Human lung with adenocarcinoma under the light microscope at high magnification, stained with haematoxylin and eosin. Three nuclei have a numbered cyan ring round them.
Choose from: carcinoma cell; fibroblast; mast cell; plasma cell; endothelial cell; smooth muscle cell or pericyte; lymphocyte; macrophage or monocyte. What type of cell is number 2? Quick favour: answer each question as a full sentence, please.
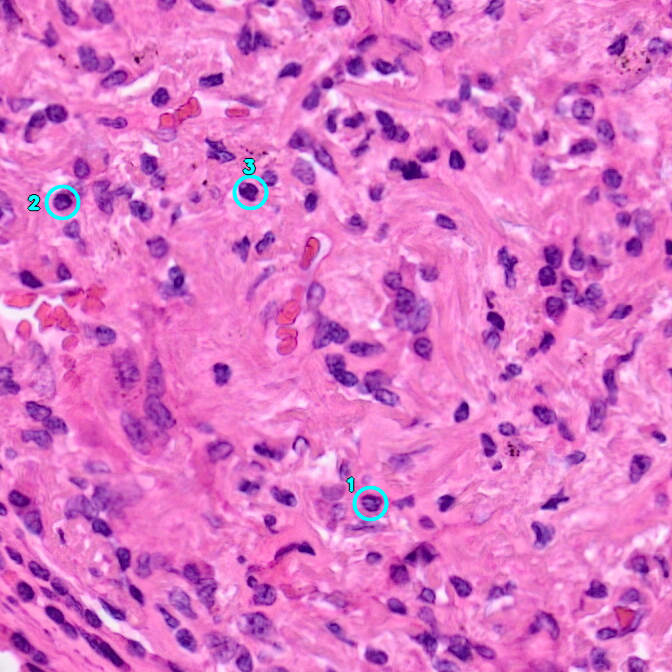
The cell indicated by marker 2 is a plasma cell in this section.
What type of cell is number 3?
The cell tagged with 3 in this tissue section is a lymphocyte.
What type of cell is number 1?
The cell identified by number 1 is a mast cell.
